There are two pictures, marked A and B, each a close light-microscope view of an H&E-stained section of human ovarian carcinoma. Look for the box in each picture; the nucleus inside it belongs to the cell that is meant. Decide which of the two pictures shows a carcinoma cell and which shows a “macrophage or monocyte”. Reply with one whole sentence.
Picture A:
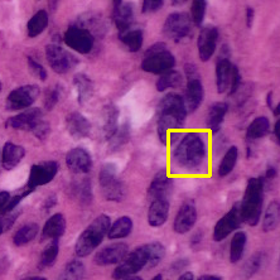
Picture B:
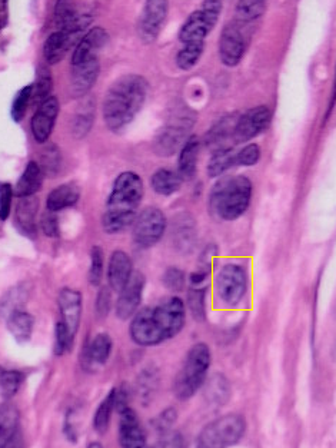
Picture A is of a carcinoma cell, and picture B is of a “macrophage or monocyte”.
